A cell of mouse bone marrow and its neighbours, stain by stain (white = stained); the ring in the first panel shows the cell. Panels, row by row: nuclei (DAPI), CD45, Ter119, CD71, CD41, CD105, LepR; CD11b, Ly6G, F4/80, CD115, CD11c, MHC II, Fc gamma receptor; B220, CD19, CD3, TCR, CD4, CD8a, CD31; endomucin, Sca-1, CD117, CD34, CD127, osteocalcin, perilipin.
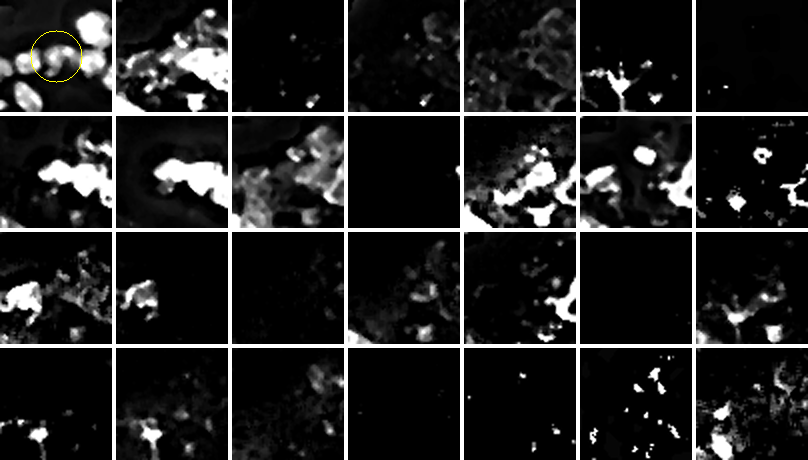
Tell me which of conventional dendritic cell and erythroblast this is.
The picture shows a conventional dendritic cell.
